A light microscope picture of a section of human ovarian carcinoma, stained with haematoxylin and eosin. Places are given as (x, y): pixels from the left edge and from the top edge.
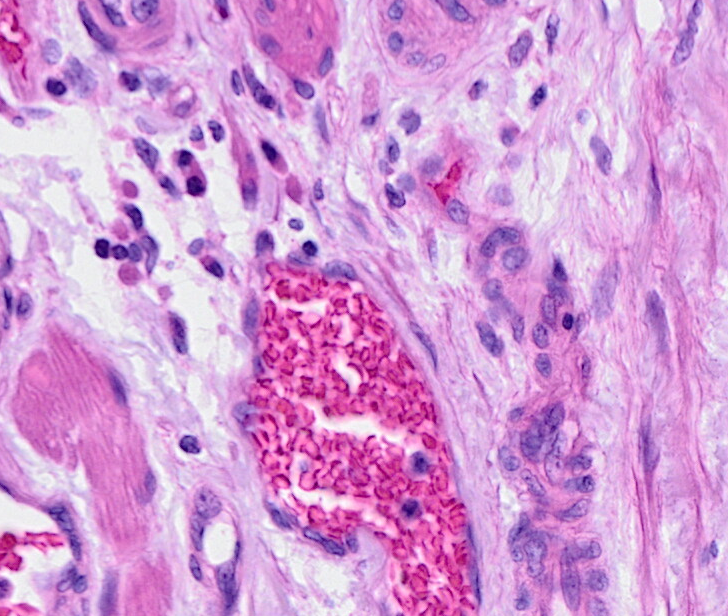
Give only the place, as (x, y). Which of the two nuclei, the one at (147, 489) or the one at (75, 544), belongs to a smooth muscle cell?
(147, 489)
